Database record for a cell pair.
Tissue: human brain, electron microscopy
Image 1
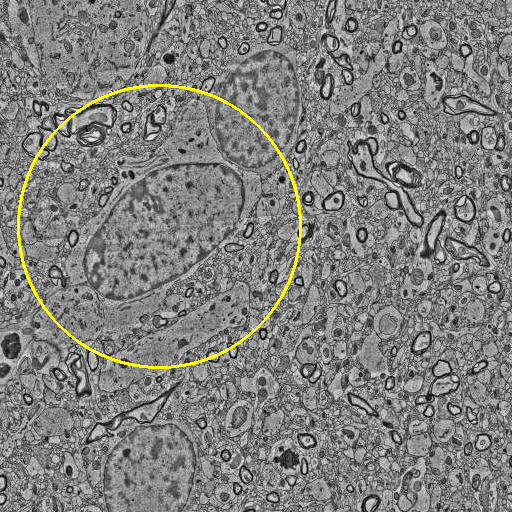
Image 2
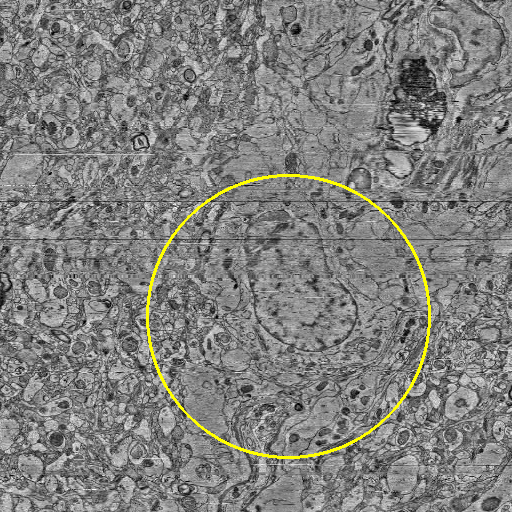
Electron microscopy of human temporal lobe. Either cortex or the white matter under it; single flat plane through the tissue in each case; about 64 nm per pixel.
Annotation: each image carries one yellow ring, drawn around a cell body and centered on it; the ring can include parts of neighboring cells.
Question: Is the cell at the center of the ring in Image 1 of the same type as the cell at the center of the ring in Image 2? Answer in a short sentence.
Yes, the cells are of the same type.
